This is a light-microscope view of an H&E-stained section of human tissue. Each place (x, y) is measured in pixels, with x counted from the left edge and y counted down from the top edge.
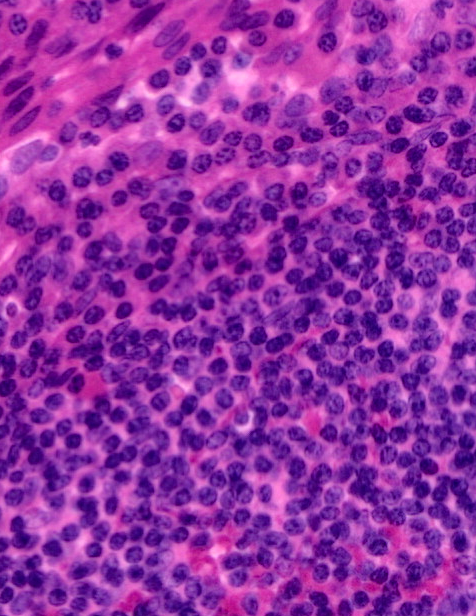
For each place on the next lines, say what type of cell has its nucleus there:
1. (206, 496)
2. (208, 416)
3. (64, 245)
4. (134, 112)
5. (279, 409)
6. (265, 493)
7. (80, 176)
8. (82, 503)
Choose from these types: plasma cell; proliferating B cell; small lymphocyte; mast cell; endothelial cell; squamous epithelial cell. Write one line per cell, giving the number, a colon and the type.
1: small lymphocyte
2: small lymphocyte
3: plasma cell
4: plasma cell
5: small lymphocyte
6: small lymphocyte
7: plasma cell
8: small lymphocyte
